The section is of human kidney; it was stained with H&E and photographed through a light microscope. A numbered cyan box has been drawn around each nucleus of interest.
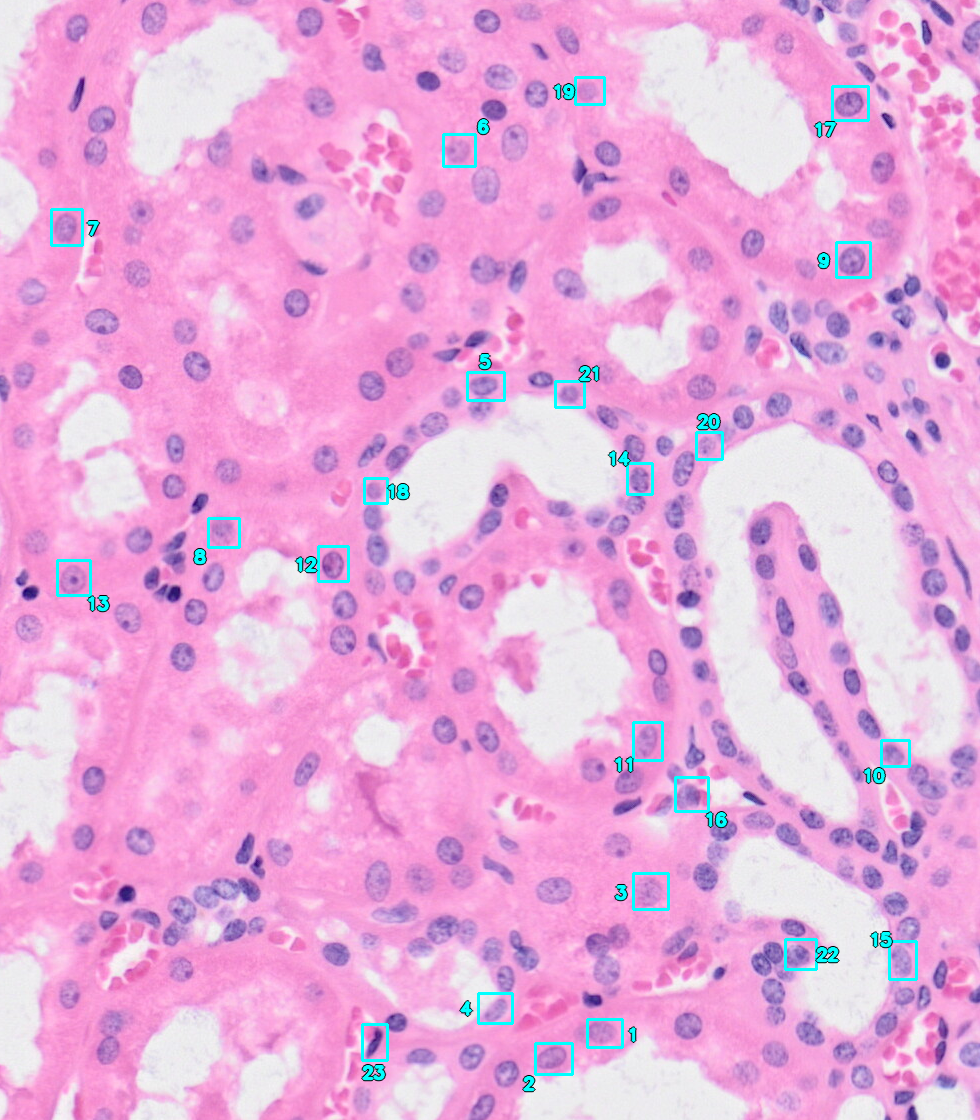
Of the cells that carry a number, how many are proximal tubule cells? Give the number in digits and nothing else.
12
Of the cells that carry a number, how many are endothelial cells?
2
